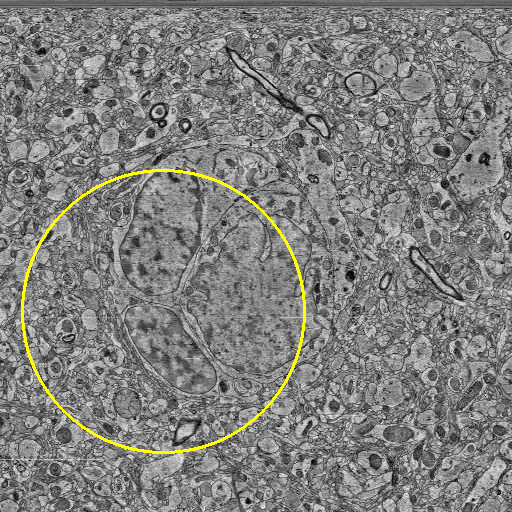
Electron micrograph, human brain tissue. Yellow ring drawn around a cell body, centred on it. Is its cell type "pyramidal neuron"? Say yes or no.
no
